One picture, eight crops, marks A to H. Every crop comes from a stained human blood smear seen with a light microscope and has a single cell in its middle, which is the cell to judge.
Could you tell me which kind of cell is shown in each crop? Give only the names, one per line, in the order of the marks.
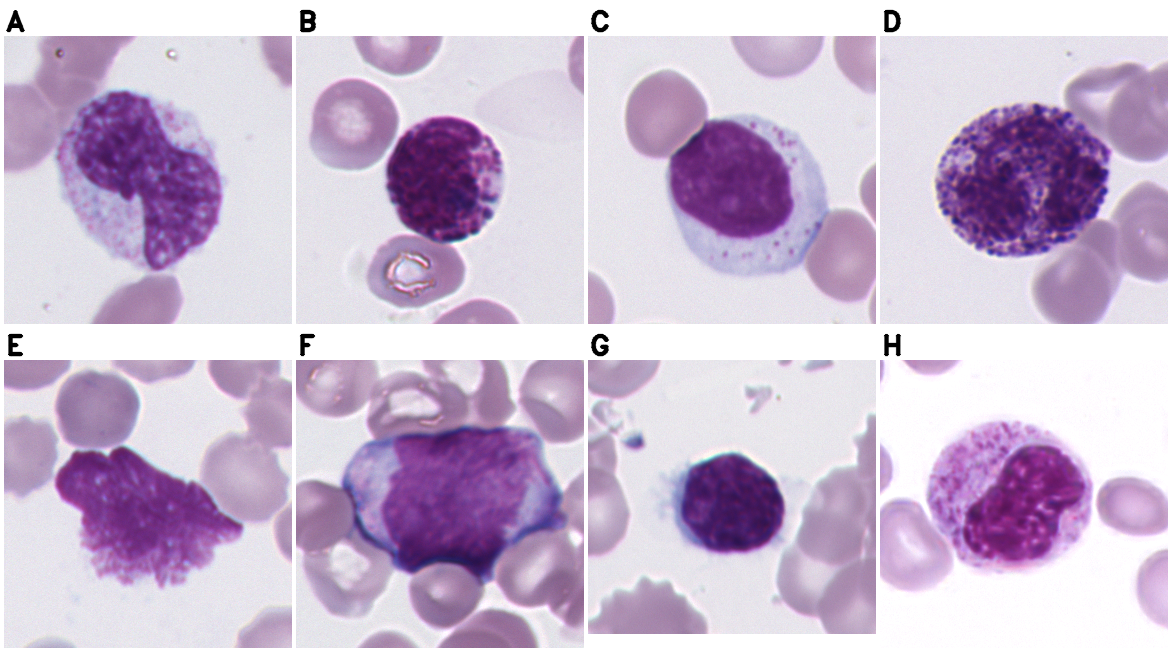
band neutrophil
basophil
large granular lymphocyte
basophil
smudge cell
atypical promyelocyte
hairy cell
metamyelocyte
